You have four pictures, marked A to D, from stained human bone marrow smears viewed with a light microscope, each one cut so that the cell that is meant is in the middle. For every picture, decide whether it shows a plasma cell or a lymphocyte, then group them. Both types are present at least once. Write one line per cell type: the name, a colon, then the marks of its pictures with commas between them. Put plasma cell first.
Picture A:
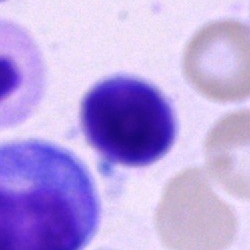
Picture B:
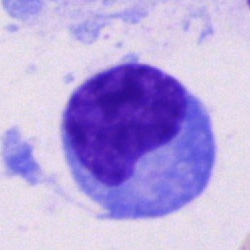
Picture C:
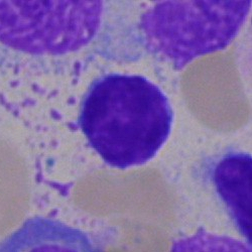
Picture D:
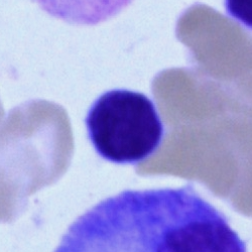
plasma cell: B
lymphocyte: A, C, D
